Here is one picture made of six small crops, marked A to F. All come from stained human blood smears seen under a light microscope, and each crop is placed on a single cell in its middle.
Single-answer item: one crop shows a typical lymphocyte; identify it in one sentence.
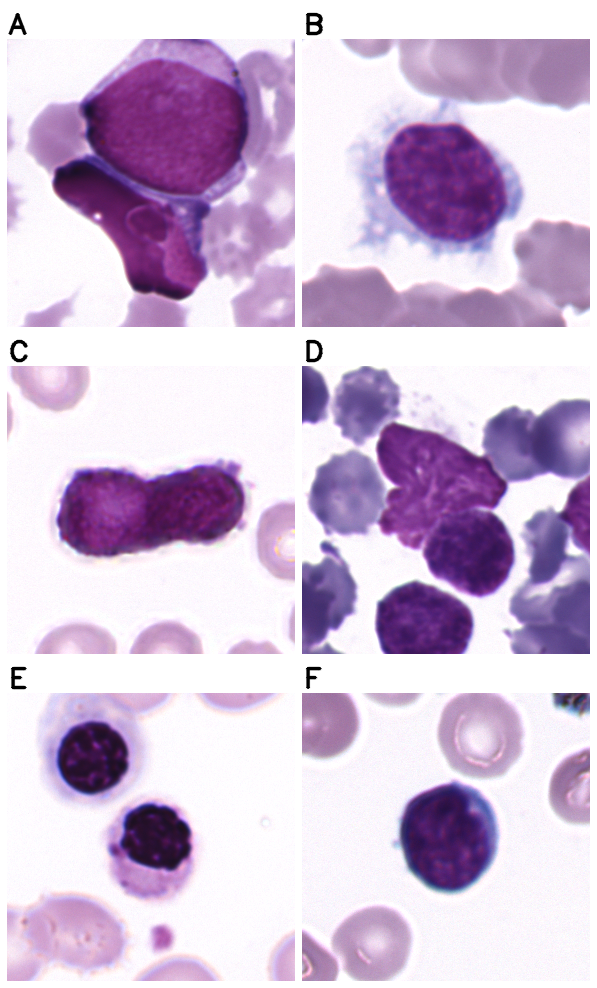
Among all the crops given here, the one with a typical lymphocyte is crop F.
